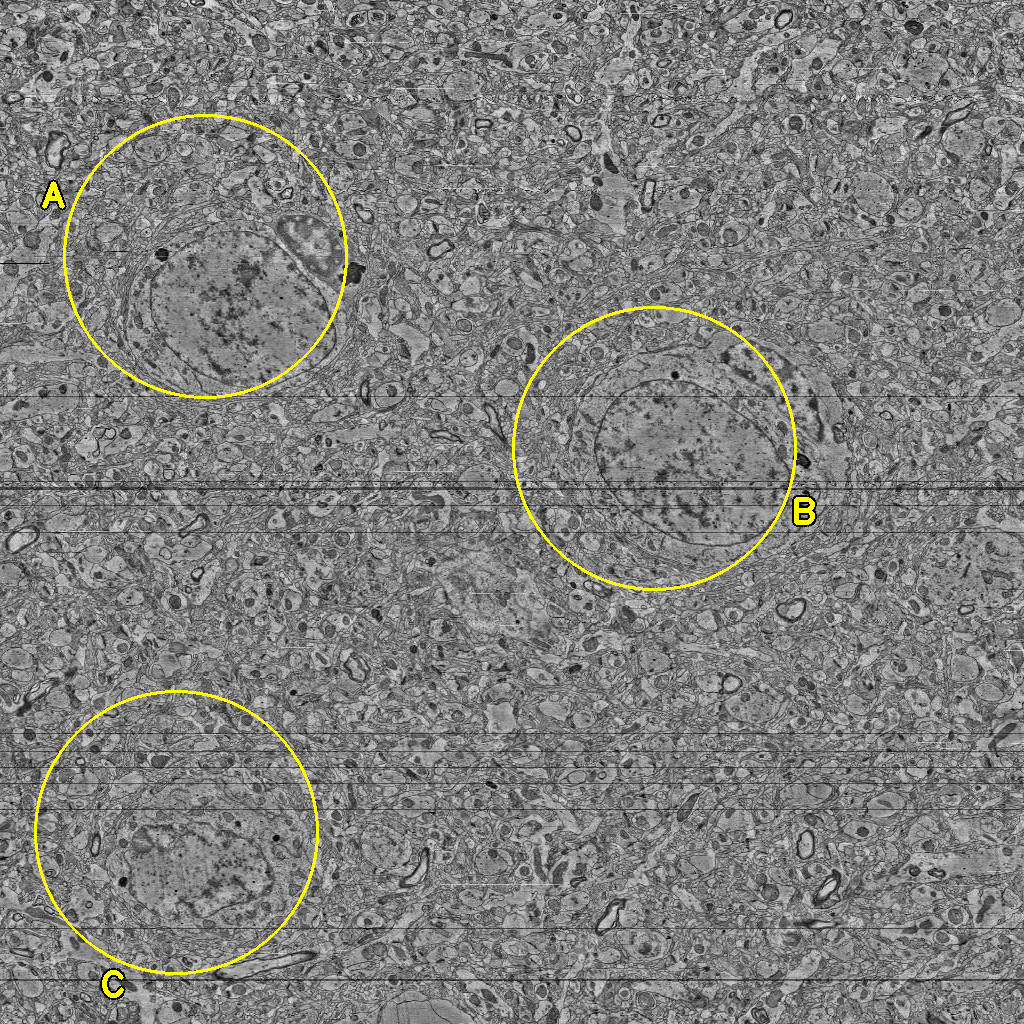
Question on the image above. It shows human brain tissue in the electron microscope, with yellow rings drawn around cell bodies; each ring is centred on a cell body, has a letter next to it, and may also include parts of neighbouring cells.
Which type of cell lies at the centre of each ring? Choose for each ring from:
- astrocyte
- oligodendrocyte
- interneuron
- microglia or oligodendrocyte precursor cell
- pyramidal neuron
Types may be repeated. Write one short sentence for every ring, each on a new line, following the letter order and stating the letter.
Ring A has been drawn around a pyramidal neuron.
Ring B has been drawn around a pyramidal neuron.
Ring C has been drawn around an interneuron.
